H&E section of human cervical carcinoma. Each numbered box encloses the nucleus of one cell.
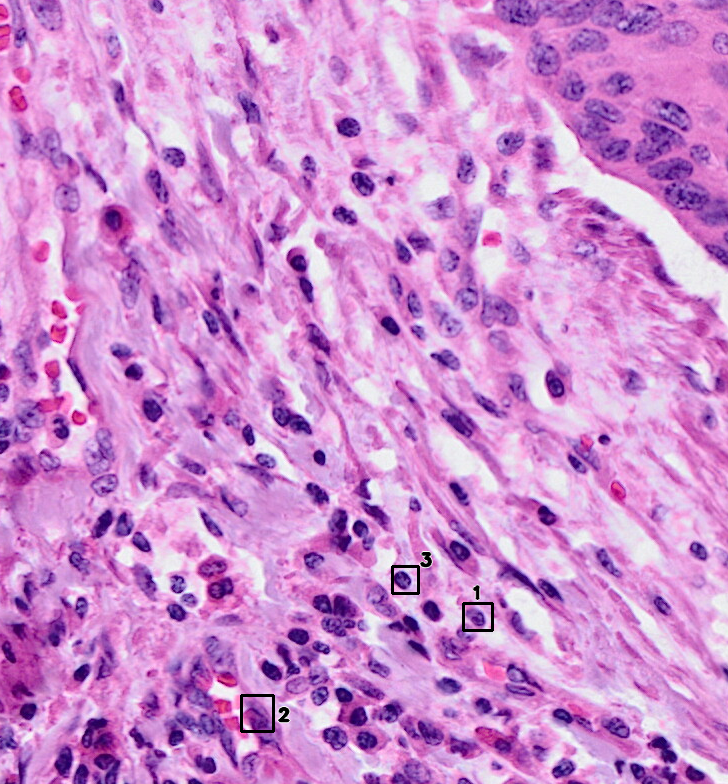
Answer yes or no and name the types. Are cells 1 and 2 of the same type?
No; whereas cell 1 is a lymphocyte, cell 2 is an endothelial cell.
